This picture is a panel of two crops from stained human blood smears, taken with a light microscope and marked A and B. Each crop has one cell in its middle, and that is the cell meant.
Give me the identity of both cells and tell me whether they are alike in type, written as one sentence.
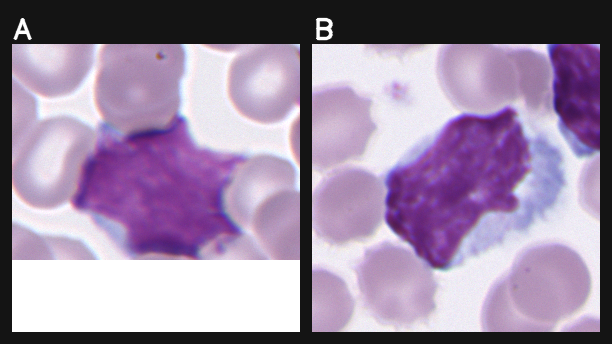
Yes, the two crops show lymphocytes, both of them.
